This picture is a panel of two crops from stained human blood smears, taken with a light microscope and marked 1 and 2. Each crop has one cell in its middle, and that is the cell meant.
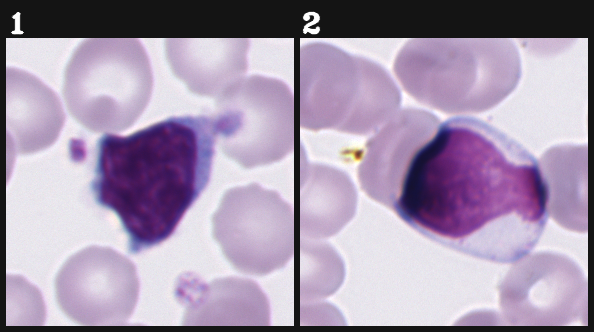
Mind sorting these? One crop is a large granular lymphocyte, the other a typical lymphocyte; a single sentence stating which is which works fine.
As for crop 1, it is a typical lymphocyte; crop 2, by contrast, is a large granular lymphocyte.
